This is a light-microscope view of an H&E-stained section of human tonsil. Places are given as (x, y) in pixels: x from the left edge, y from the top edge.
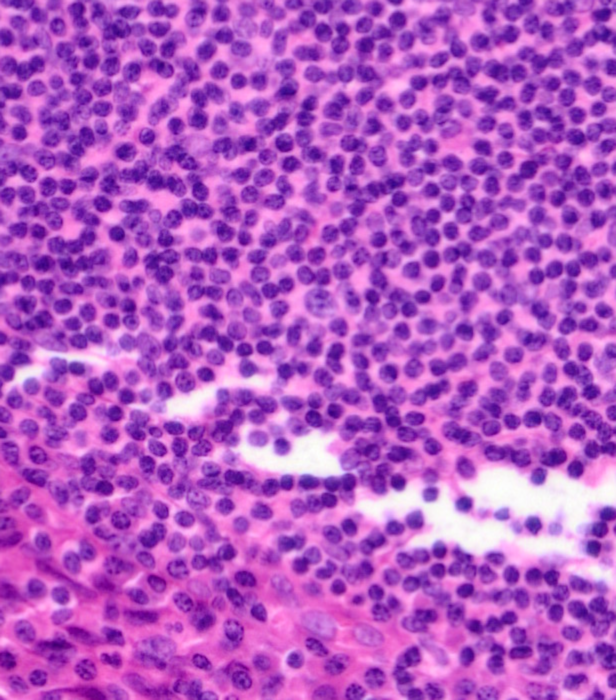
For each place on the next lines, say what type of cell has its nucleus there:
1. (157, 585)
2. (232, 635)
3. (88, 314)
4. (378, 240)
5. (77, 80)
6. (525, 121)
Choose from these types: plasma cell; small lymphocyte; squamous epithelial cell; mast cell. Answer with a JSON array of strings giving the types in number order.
["plasma cell", "plasma cell", "small lymphocyte", "small lymphocyte", "small lymphocyte", "small lymphocyte"]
